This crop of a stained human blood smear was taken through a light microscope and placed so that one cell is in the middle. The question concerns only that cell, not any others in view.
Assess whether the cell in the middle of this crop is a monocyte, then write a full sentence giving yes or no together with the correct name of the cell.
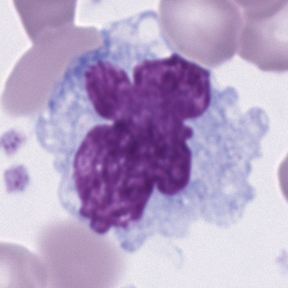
Yes, the cell in the center of this crop is a monocyte.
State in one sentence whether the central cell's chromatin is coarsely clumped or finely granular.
Heads up, the chromatin in this one is coarsely clumped.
